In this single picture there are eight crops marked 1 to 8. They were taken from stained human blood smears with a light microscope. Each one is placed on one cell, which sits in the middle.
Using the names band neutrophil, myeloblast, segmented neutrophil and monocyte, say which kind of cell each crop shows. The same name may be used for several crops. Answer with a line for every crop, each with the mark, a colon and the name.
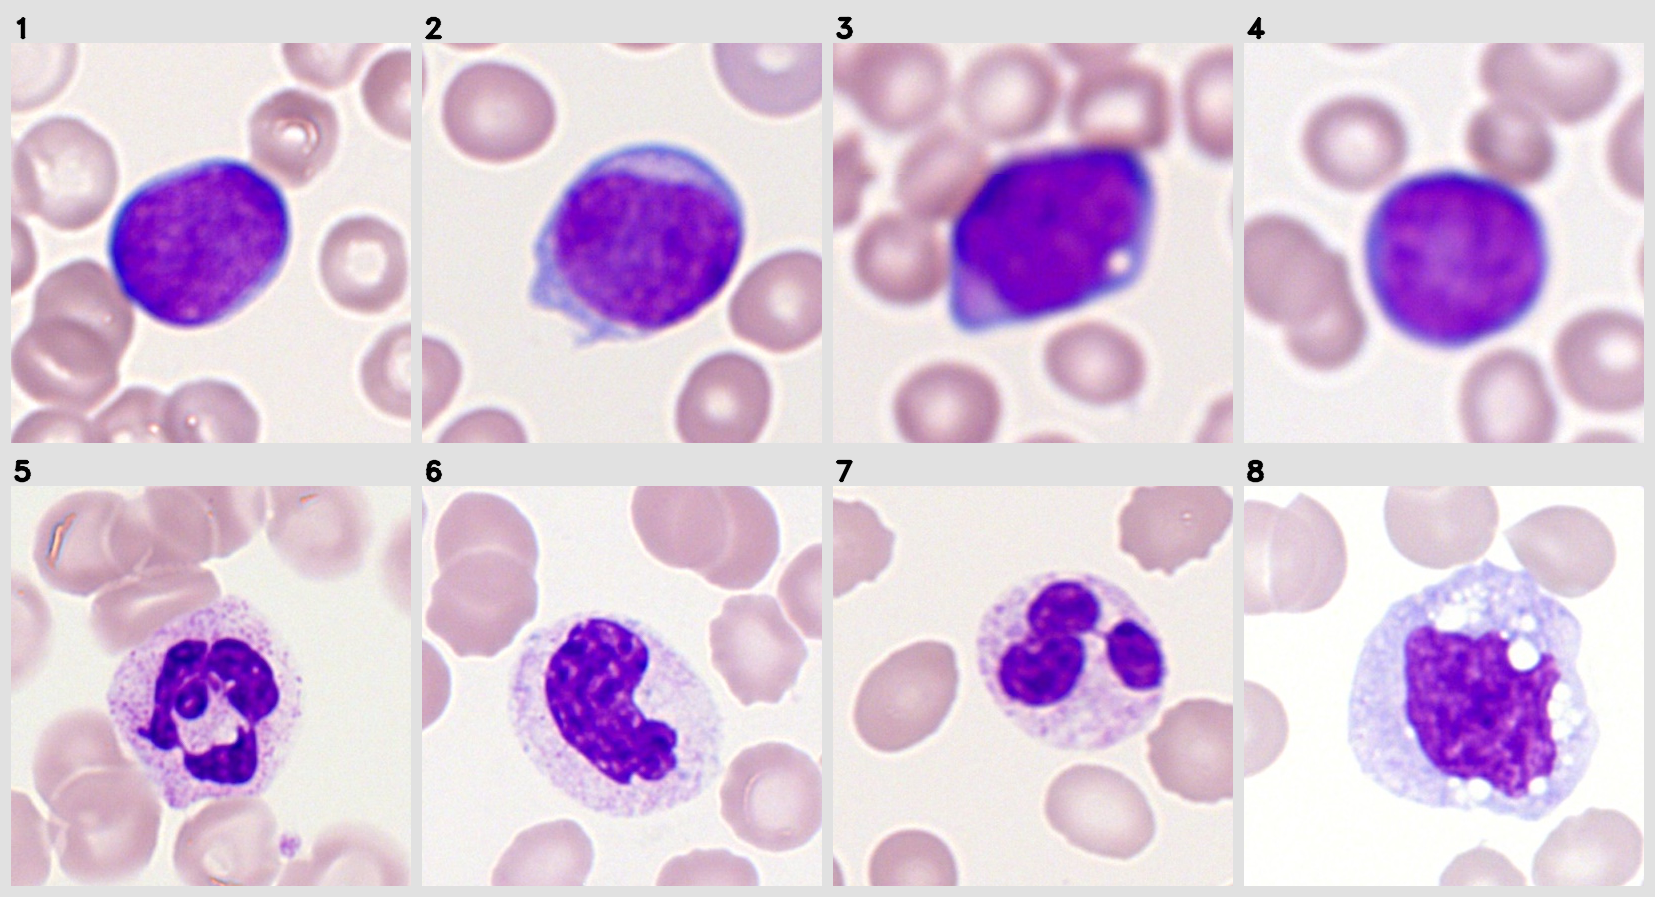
1: myeloblast
2: myeloblast
3: myeloblast
4: myeloblast
5: segmented neutrophil
6: band neutrophil
7: segmented neutrophil
8: monocyte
